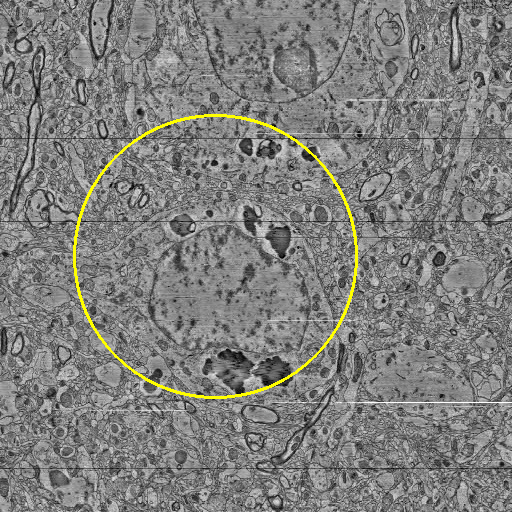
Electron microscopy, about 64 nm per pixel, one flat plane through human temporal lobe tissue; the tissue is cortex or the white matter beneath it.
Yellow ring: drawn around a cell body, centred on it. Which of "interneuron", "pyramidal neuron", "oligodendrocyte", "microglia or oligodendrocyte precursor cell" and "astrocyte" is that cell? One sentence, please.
That cell body is from an interneuron.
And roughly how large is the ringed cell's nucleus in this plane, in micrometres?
The nucleus measures about 11 by 8 micrometres in this plane.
